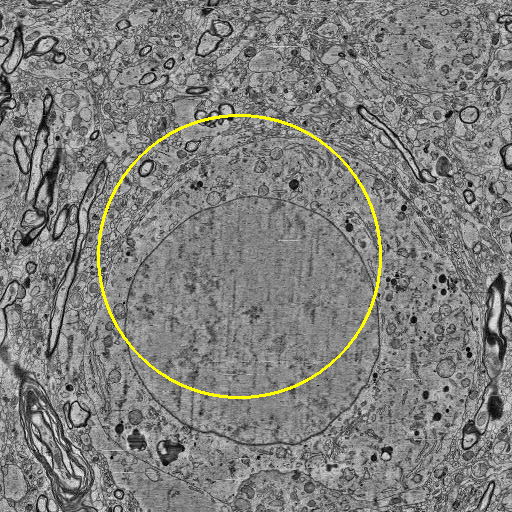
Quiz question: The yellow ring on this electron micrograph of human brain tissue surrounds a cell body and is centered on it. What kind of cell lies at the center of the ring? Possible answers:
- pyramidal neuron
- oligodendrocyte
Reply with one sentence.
The ring's center lies on a pyramidal neuron.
